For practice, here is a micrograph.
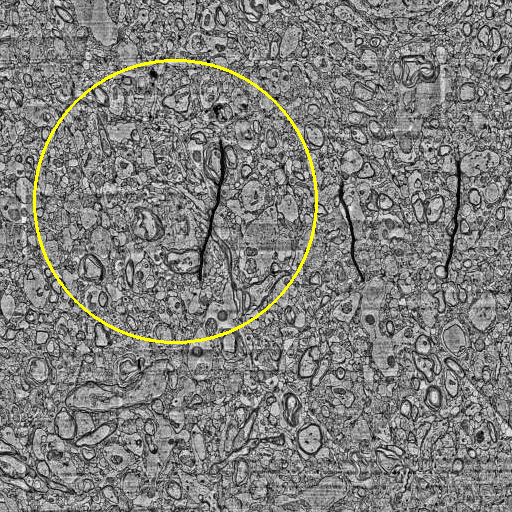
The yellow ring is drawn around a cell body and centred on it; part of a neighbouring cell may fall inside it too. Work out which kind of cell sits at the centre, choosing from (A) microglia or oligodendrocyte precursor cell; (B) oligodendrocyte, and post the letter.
B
